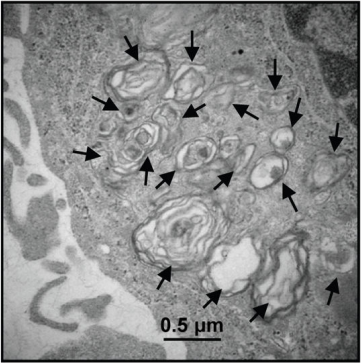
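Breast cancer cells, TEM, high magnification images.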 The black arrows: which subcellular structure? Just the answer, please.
Membrane bound vesicles.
